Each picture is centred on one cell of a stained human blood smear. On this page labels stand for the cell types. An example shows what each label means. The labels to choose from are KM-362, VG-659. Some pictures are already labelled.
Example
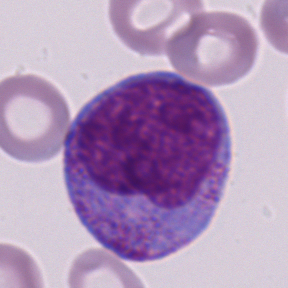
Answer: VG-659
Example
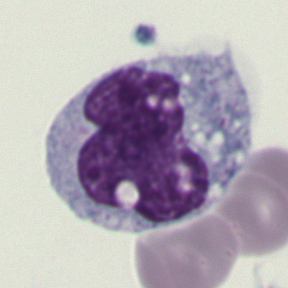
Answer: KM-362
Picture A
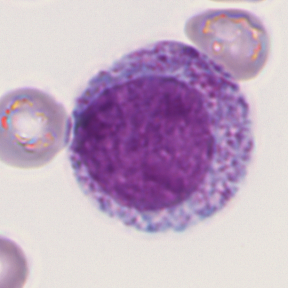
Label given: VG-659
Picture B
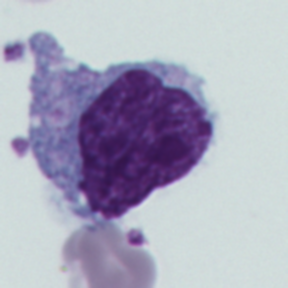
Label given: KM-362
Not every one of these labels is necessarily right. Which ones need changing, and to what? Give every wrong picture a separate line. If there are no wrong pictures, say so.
All labels are correct.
